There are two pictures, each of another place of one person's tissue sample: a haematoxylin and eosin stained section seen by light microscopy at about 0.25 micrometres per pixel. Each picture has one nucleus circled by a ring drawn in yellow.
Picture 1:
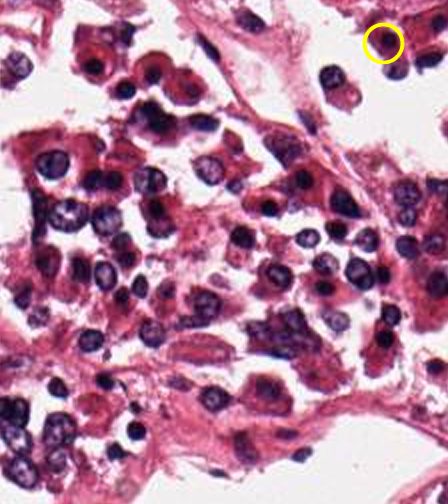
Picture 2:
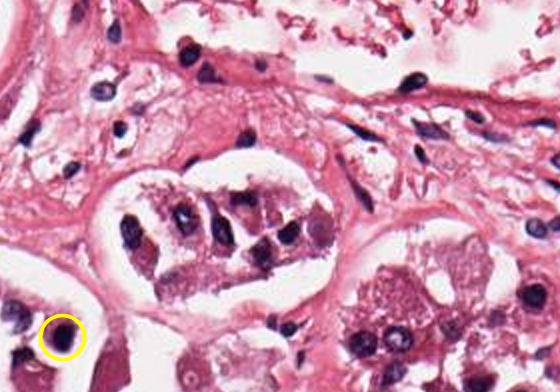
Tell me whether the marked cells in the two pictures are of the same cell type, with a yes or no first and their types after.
Yes, both are anterior pituitary cells.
